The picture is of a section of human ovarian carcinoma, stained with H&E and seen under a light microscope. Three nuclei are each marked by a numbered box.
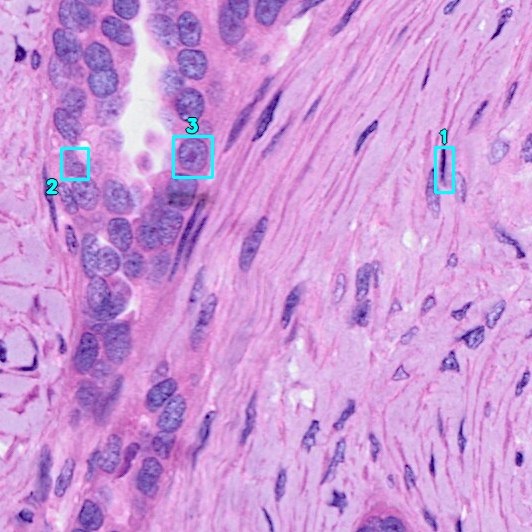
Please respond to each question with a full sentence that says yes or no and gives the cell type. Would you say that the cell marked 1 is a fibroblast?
Yes. The cell carrying number 1 is a fibroblast.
